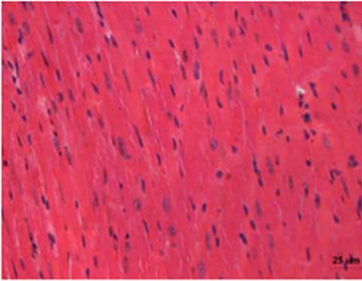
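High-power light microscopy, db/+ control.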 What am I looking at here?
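This is myocardial tissue made of cardiomyocytes running parallel to one another, with pink cytoplasm and elongated oval purple nuclei aligned along the length of the fibres. The fibres are closely packed with only narrow pale spaces between them, and no clusters of inflammatory cells or areas of fibrosis are seen.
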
